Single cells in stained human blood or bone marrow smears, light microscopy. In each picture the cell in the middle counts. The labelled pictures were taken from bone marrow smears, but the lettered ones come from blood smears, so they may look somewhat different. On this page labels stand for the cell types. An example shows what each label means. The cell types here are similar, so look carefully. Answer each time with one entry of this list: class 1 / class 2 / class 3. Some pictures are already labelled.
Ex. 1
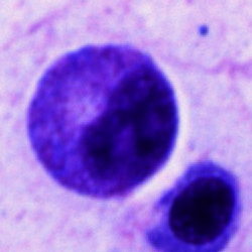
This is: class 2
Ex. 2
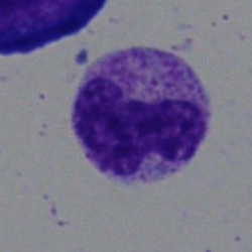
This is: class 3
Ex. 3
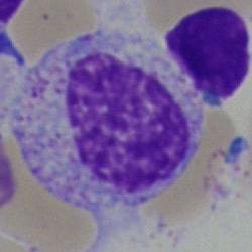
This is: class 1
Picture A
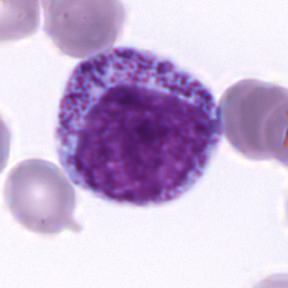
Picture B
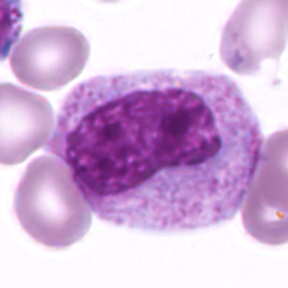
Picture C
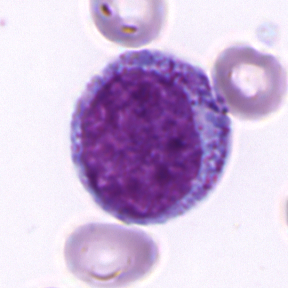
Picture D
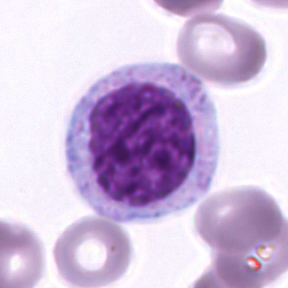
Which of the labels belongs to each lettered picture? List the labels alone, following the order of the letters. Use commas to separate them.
class 1, class 1, class 2, class 1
